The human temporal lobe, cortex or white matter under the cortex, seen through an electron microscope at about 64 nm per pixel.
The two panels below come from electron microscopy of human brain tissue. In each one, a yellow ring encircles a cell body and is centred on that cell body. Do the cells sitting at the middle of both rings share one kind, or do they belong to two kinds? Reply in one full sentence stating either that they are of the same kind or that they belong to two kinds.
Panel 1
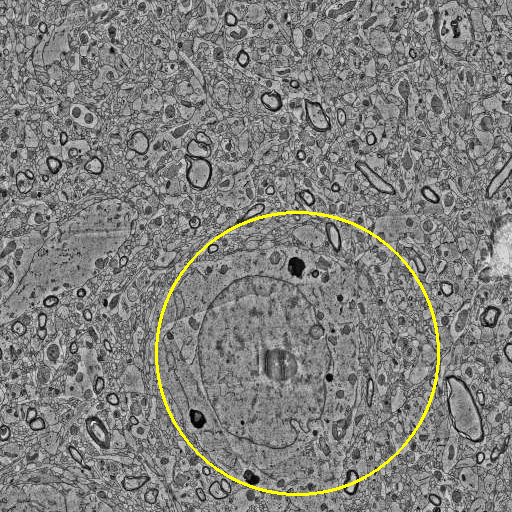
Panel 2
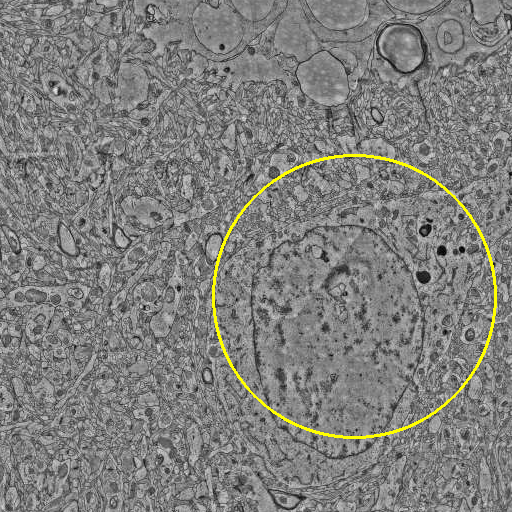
The cells at the centres of the two rings are of the same kind.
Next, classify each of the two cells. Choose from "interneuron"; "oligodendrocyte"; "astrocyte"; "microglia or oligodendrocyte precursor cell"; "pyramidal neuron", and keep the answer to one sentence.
Each of the two pictures has a pyramidal neuron at the ring centre.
